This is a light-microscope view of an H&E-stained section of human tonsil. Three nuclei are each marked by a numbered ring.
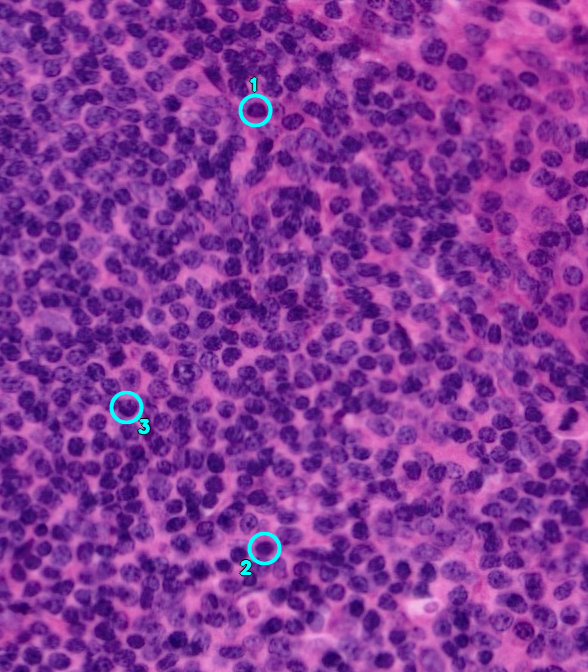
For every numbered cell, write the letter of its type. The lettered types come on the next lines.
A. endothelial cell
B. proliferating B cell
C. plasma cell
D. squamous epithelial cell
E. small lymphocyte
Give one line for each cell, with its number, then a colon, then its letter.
1: C
2: E
3: E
